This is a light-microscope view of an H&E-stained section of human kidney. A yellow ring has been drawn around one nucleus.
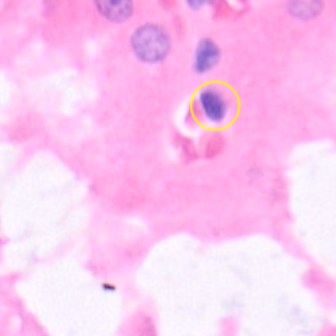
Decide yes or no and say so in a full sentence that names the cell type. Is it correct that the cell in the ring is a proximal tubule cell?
No, the cell in the ring corresponds to an endothelial cell rather than to a proximal tubule cell.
